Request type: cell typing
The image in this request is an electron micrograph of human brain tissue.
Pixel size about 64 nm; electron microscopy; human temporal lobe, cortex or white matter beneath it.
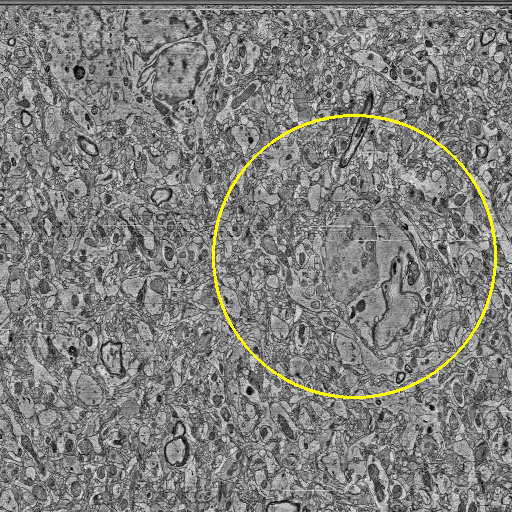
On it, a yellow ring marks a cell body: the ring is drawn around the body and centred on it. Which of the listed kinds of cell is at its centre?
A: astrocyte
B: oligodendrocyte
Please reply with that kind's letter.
B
